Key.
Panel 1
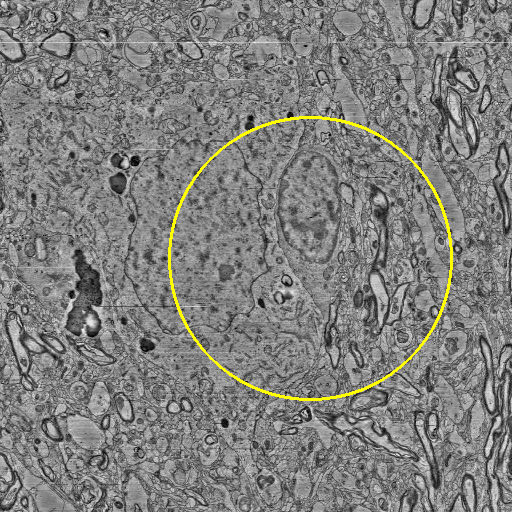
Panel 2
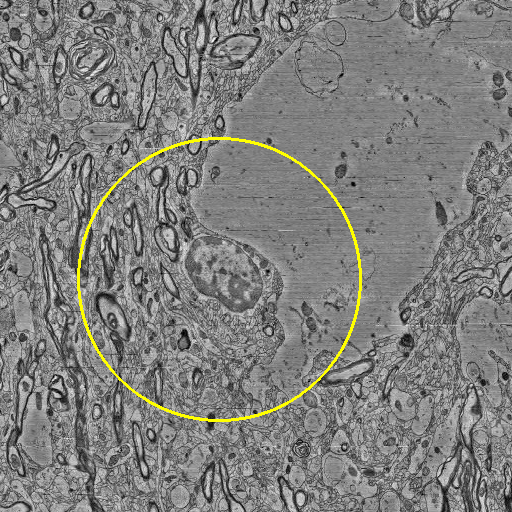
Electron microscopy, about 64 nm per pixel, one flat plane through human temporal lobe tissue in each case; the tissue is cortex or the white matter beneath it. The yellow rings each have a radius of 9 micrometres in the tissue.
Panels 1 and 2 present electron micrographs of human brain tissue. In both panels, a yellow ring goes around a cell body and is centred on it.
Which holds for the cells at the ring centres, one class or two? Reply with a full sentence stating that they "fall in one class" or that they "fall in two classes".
Taken together, the ring-centre cells of the two panels fall in two classes.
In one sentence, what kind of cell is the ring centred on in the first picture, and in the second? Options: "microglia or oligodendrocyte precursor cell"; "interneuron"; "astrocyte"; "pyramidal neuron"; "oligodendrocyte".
The cell at the centre of the second ring is a microglial cell or oligodendrocyte precursor cell; the first ring's cell is an oligodendrocyte.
